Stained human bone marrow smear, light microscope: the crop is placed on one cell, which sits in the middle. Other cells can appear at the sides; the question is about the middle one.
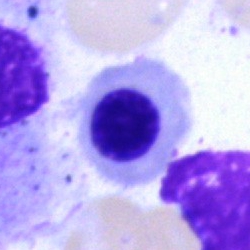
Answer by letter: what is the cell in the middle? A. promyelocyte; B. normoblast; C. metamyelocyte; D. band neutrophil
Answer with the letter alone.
B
